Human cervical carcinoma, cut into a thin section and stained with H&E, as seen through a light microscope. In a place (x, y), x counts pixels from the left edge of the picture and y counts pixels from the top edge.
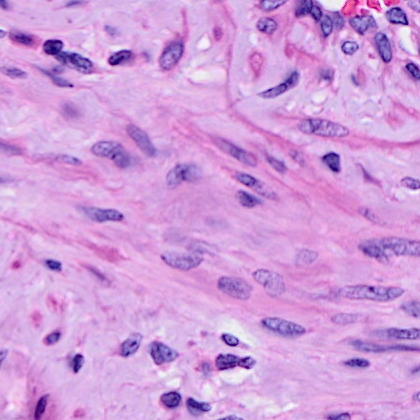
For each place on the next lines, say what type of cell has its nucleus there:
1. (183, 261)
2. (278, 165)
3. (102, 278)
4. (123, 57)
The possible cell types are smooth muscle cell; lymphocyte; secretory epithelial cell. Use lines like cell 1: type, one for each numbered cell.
cell 1: smooth muscle cell
cell 2: smooth muscle cell
cell 3: smooth muscle cell
cell 4: lymphocyte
